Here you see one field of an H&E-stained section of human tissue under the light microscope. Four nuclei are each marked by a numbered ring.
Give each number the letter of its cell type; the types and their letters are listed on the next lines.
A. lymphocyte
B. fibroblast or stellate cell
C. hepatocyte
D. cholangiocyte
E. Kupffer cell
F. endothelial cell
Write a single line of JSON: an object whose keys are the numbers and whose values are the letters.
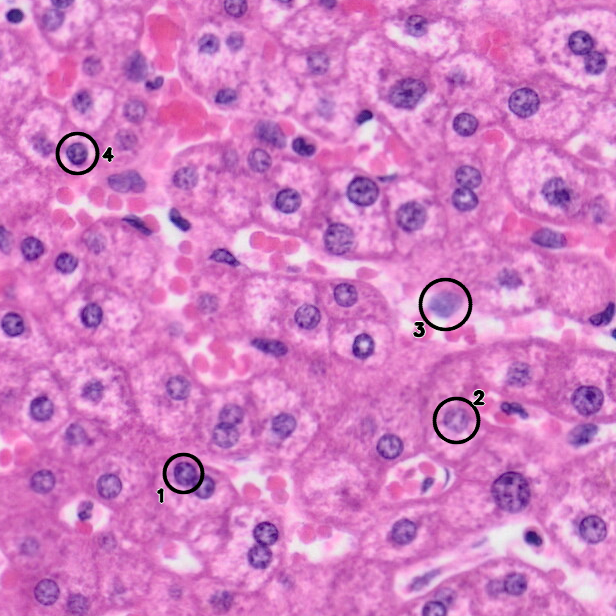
{"1": "C", "2": "C", "3": "F", "4": "C"}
